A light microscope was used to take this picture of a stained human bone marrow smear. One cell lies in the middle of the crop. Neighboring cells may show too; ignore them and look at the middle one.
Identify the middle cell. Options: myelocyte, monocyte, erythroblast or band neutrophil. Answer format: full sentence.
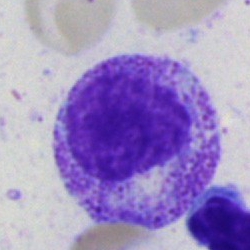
The cell in the exact centre of the crop is a myelocyte.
